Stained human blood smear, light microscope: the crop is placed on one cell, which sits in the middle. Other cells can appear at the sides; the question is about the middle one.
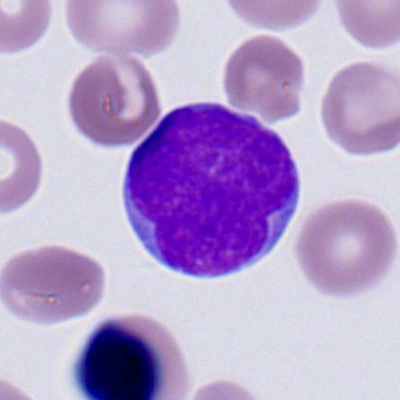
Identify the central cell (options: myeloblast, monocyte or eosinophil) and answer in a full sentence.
The cell shown in the center of this light-microscope crop is a myeloblast.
